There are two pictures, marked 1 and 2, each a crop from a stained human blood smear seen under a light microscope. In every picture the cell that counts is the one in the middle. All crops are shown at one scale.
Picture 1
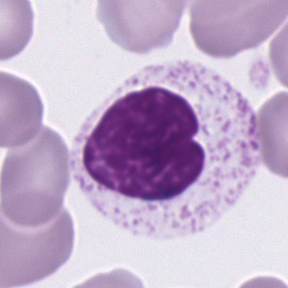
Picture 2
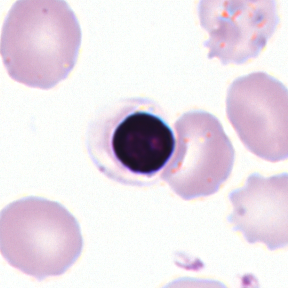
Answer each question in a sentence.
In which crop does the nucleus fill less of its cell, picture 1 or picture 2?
Of the two, the nucleus in picture 1 leaves more room for cytoplasm.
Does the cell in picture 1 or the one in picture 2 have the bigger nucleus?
The nucleus in picture 1 is larger, with about 4 times the area of the one in picture 2.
